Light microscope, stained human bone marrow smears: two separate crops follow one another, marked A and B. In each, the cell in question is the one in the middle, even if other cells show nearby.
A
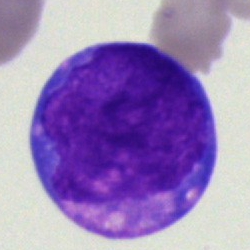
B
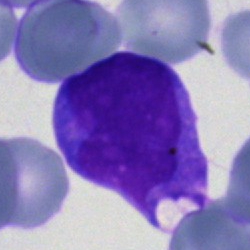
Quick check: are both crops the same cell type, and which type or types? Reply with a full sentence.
Yes, they do, both crops show blasts.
